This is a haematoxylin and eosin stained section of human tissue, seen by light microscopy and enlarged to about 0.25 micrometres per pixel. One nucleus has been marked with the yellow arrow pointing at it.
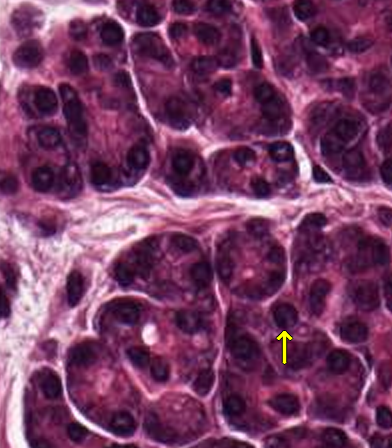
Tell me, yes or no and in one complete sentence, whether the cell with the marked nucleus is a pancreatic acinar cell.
Yes, in this image it is a pancreatic acinar cell that contains the marked nucleus.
